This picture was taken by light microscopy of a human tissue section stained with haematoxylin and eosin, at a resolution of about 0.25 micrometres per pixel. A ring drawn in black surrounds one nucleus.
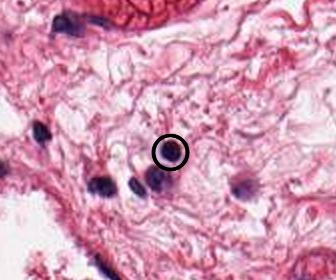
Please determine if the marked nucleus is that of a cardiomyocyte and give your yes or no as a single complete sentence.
No, not to a cardiomyocyte does the marked nucleus belong, but to a supporting cell.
